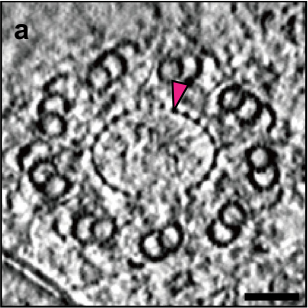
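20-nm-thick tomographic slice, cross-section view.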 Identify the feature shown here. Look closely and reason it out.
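A ring of nine microtubule blades, each made of joined tubules. A central lumen lies inside the ring. That points to this answer: basal body.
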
